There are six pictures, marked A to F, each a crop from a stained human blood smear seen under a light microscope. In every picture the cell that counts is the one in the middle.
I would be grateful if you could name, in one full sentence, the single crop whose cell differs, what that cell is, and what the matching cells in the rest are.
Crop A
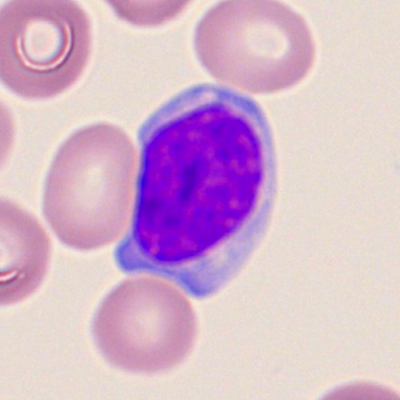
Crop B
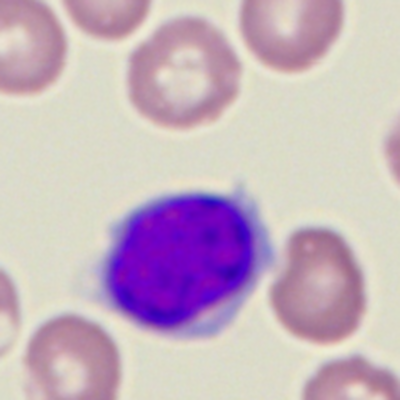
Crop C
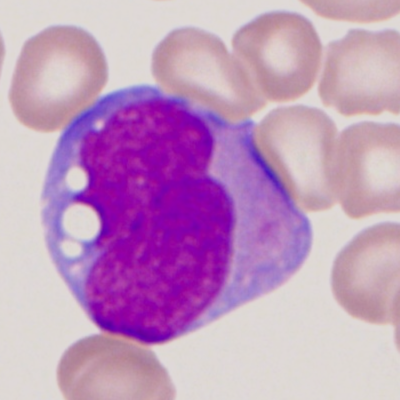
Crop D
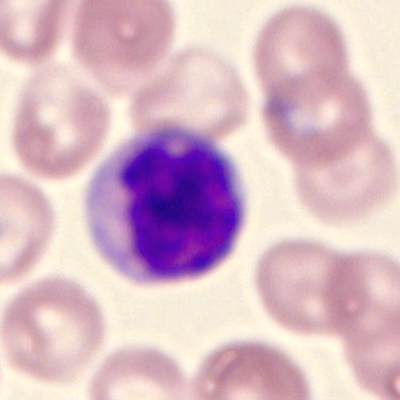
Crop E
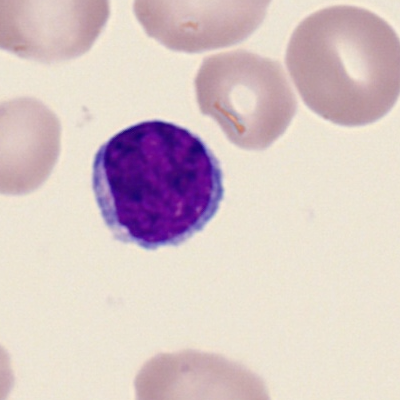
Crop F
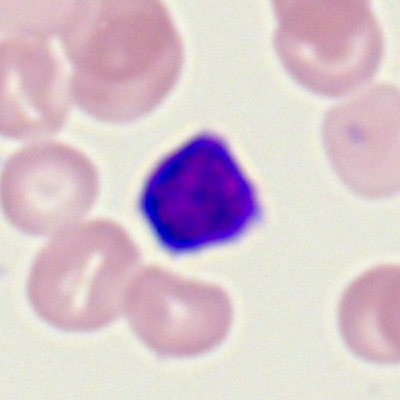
For this set, crop C is a myeloblast, and all the rest are lymphocytes.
